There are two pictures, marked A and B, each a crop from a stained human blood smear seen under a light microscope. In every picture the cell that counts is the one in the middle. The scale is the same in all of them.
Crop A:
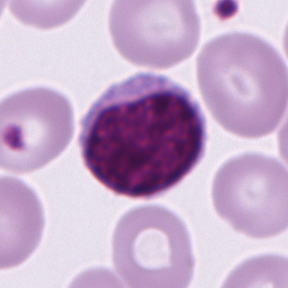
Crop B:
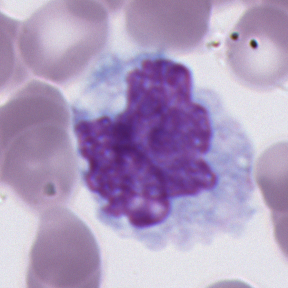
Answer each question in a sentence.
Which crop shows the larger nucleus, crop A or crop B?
Larger is the nucleus in crop B, at roughly 1.5 times the area of the other.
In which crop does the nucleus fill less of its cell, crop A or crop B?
In crop B the nucleus takes up the smaller part of its cell.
